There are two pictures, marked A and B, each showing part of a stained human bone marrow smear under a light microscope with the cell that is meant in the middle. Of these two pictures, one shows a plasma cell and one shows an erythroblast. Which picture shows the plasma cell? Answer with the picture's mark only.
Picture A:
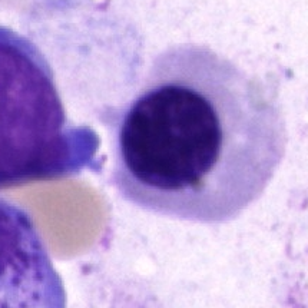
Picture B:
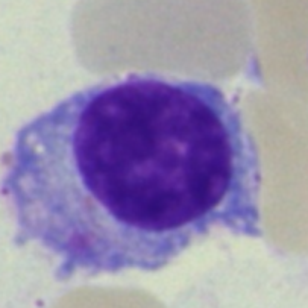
B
